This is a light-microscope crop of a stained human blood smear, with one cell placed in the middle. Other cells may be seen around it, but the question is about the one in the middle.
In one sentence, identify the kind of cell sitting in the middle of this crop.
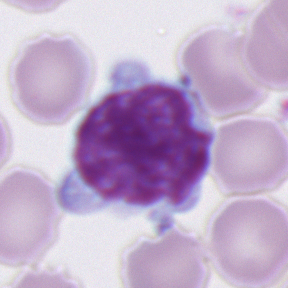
The cell of interest, located centrally, is a typical lymphocyte.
